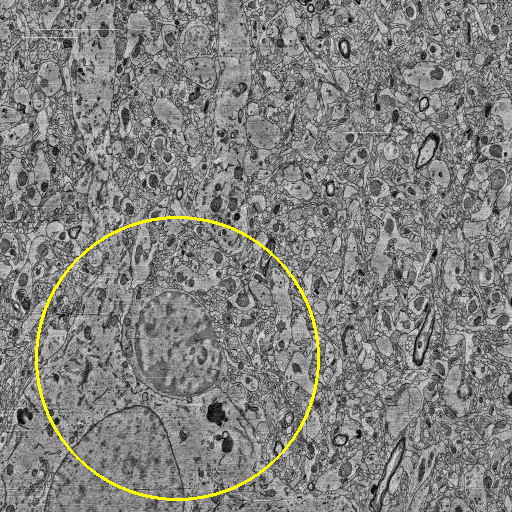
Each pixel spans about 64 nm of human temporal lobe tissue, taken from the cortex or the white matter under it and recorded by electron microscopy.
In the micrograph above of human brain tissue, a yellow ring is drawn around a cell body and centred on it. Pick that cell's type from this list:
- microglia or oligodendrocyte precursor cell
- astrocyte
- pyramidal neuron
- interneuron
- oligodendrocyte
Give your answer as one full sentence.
Going by the list, an oligodendrocyte is the cell on which the yellow ring is centred.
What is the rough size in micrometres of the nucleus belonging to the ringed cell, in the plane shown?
About 7 by 5 micrometers for the nucleus, in this plane.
